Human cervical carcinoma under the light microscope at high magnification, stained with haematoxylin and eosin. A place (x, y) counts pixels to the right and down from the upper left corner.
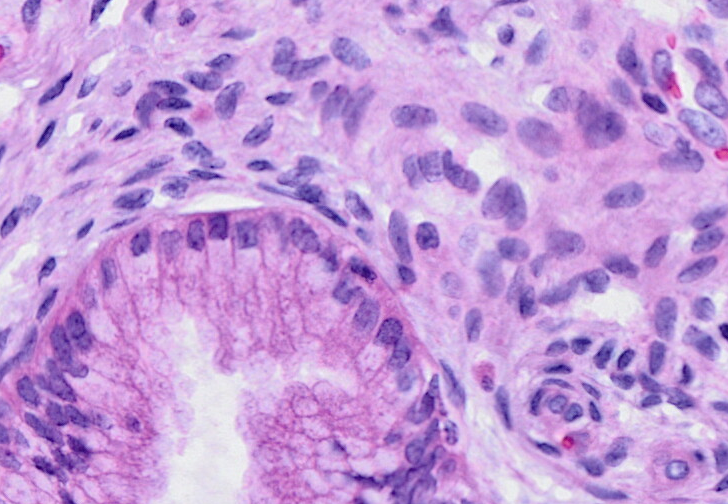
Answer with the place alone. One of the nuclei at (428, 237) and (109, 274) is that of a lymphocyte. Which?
(428, 237)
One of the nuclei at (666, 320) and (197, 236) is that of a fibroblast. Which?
(666, 320)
